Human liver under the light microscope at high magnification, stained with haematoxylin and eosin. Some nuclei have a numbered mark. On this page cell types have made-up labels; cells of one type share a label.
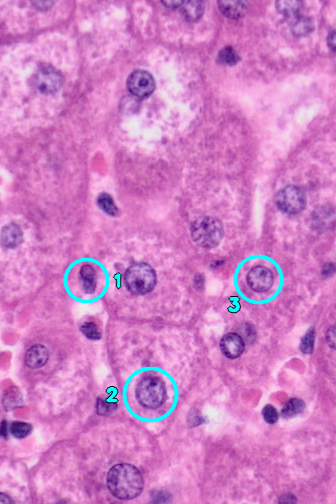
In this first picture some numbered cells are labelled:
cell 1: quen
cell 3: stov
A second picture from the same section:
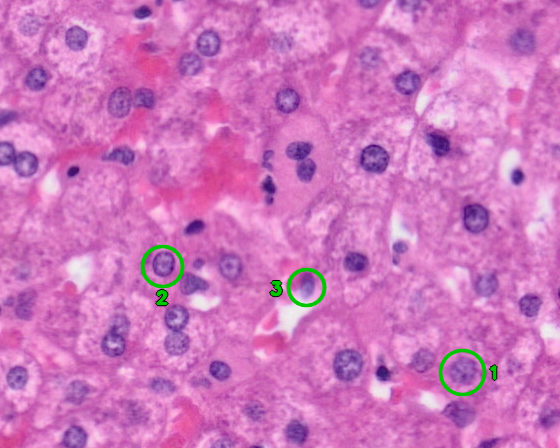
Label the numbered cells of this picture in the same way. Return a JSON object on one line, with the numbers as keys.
{"1": "stov", "2": "stov", "3": "quen"}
